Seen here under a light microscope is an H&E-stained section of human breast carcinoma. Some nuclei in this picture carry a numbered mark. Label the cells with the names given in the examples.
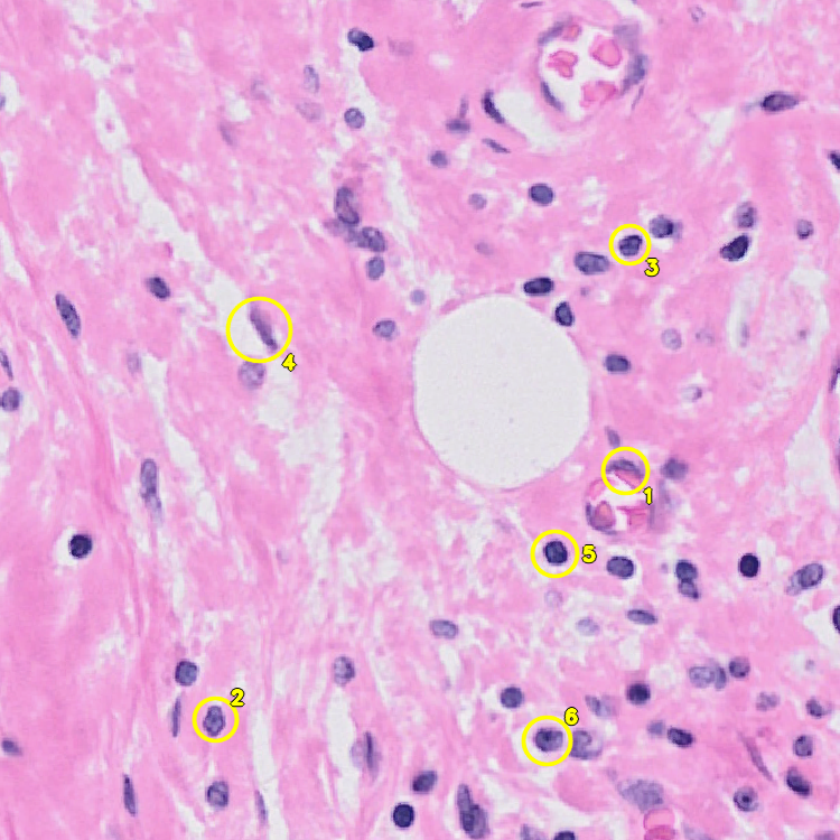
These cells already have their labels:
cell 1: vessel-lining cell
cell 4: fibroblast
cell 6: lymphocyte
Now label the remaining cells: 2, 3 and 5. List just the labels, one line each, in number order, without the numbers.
lymphocyte
lymphocyte
lymphocyte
